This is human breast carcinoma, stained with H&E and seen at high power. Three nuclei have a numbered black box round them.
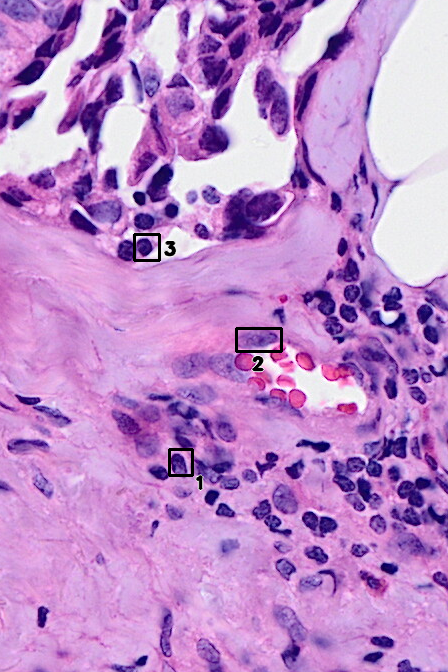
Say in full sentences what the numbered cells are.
Cell 1 is a lymphocyte, cell 2 is an endothelial cell and cell 3 is a lymphocyte.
